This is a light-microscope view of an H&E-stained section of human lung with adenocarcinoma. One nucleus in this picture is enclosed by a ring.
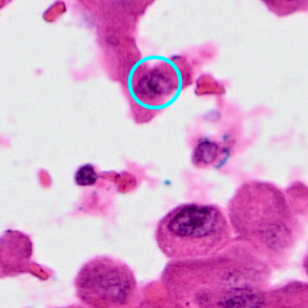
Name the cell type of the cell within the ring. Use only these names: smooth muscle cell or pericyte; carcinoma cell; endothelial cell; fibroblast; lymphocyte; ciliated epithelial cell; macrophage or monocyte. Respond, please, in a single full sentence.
With respect to cell type, the cell within the ring is a carcinoma cell.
